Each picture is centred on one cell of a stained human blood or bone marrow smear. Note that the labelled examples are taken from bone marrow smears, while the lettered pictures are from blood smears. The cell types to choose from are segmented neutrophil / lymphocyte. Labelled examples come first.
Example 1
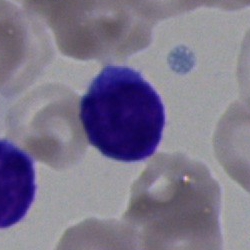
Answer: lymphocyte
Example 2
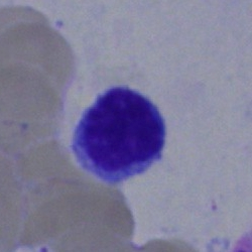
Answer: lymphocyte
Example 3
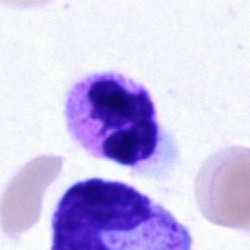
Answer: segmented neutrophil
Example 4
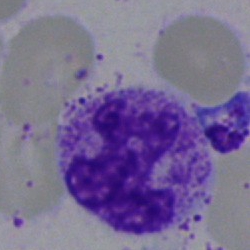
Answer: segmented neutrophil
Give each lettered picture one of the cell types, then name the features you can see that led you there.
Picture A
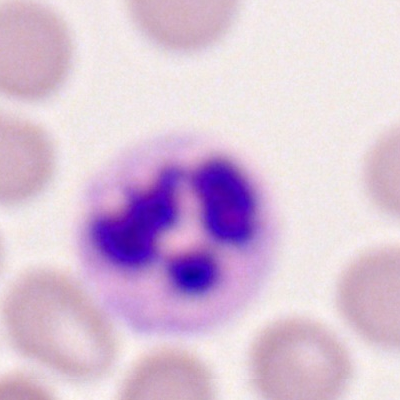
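segmented neutrophil. The nucleus is divided into three separate lobes.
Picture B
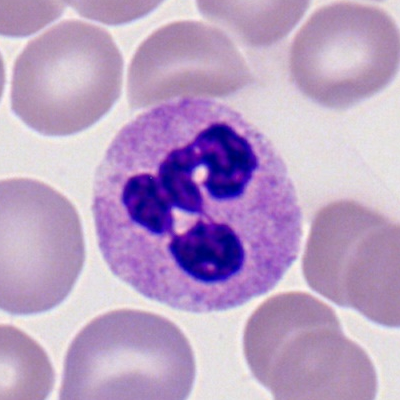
segmented neutrophil. The cytoplasm is plentiful and pale pinkish-lilac.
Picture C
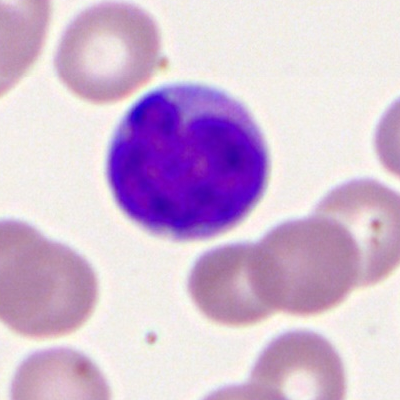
lymphocyte. The cytoplasm is a thin rim that is widest at the top of the cell.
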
